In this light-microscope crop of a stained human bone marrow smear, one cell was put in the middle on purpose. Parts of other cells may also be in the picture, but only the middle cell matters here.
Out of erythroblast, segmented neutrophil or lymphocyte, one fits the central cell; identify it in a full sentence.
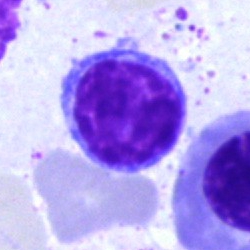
Whatever else lies nearby, the middle cell is a lymphocyte.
